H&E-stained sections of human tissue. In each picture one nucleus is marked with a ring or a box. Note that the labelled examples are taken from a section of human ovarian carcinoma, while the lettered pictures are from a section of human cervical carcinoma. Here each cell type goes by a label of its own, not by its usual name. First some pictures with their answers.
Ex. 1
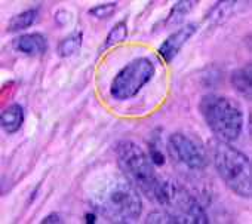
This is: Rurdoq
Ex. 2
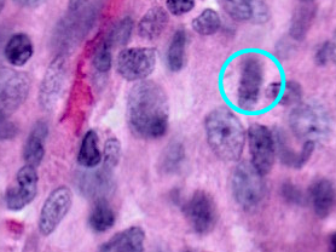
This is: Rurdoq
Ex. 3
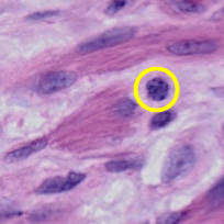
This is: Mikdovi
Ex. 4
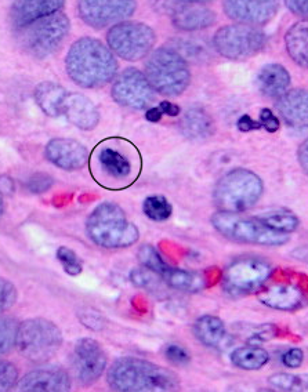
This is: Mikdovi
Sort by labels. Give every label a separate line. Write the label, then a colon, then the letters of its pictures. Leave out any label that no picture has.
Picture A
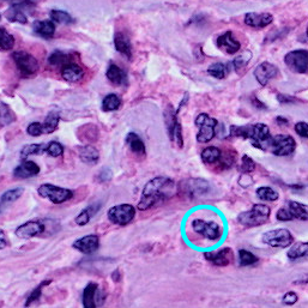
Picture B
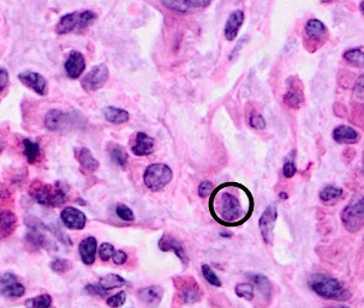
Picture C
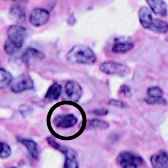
Rurdoq: B
Mikdovi: A, C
